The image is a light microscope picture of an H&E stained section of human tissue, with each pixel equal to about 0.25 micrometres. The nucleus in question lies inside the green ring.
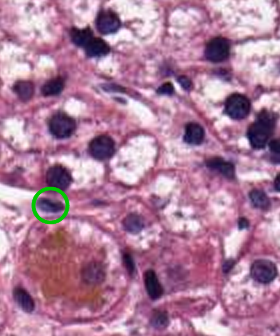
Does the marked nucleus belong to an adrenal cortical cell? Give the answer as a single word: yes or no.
no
